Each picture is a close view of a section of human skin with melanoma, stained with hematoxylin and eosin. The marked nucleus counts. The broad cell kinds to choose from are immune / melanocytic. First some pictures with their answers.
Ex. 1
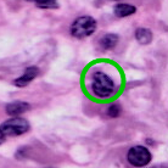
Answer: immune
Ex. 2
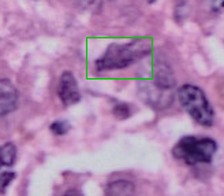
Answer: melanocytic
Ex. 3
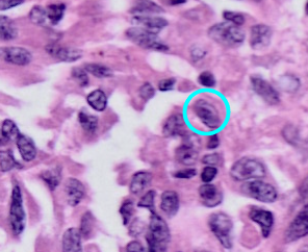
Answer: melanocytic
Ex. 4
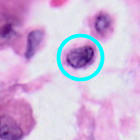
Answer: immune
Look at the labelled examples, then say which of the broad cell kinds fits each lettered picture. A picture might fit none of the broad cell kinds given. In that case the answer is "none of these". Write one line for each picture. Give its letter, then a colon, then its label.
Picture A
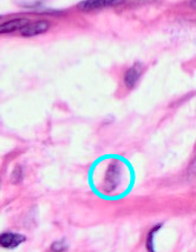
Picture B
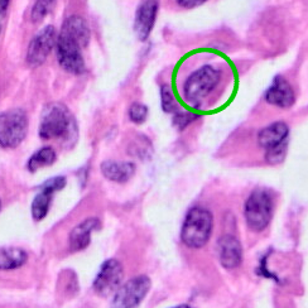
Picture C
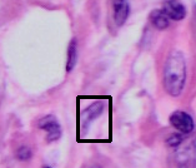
A: none of these
B: melanocytic
C: none of these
